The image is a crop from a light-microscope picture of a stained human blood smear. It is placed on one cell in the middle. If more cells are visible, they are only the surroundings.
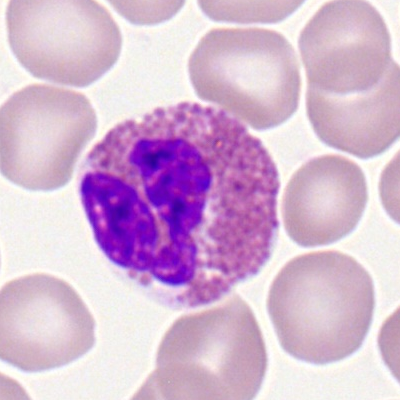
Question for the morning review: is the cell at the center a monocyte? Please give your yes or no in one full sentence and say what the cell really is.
No, not a monocyte here; the centered cell is an eosinophil.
